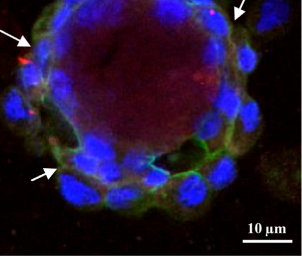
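A large central macrophage is ringed by many small erythroid cells, each with one compact blue nucleus and a thin green rim at its surface. The small cells press tightly against the rounded edge of the large cell, forming a cluster around it, and faint red specks lie in and around the large cell.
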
